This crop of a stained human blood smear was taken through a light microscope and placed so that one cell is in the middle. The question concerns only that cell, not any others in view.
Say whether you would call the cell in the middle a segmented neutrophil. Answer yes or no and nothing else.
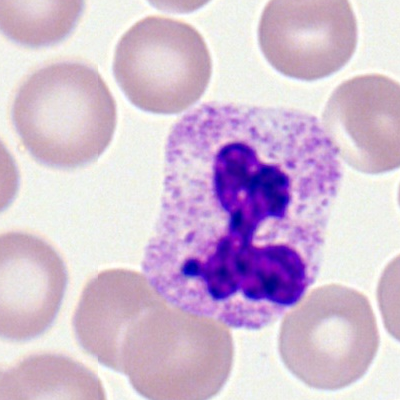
yes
